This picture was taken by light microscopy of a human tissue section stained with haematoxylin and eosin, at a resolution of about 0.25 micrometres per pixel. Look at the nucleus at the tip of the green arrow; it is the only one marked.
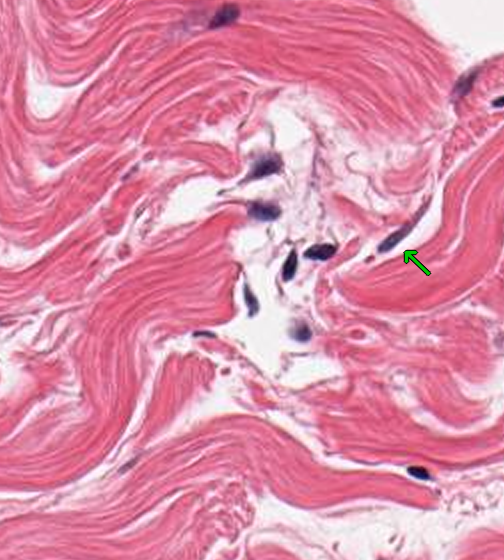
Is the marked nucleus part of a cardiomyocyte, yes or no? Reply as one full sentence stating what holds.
No, the marked nucleus sits in a supporting cell; a cardiomyocyte does not contain it.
